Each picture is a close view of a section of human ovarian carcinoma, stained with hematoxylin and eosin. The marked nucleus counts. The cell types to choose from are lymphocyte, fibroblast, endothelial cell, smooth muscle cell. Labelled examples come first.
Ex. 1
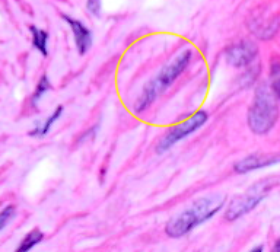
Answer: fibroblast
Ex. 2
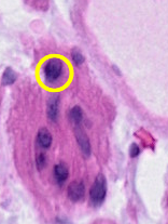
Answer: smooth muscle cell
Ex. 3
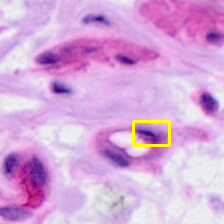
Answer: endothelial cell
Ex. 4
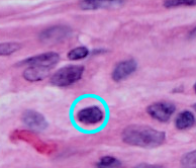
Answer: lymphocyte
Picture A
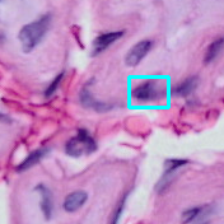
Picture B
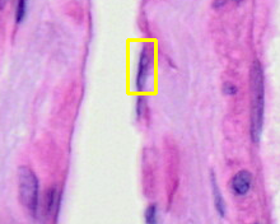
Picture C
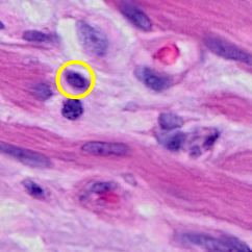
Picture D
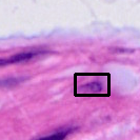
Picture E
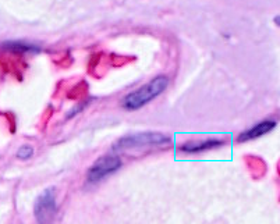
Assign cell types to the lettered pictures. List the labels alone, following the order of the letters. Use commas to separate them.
endothelial cell, endothelial cell, lymphocyte, smooth muscle cell, endothelial cell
